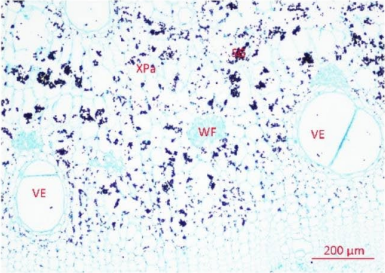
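Dark purple-black granules sit in clumps within many of the parenchyma cells, while other cells look nearly empty. Large round vessels with wide clear lumens are scattered through the tissue, and small clusters of narrow, thick-walled fibers appear as compact blue-green groups between the parenchyma.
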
